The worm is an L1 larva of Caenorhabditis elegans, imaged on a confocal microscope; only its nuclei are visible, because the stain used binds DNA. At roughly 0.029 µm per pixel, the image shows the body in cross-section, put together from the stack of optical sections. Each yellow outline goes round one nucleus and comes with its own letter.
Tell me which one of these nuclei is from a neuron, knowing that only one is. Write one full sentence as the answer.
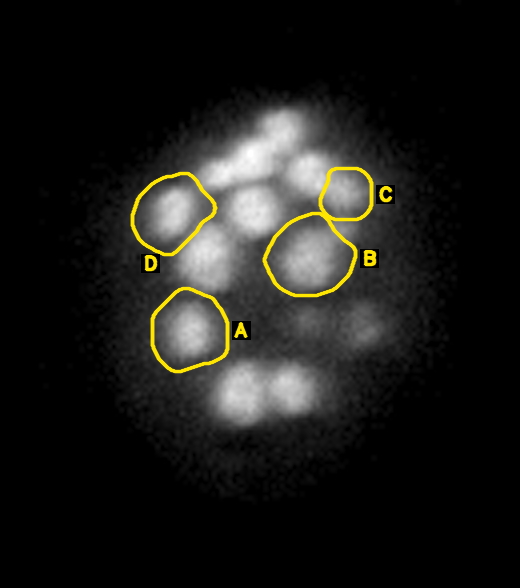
Nucleus D belongs to a neuron.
